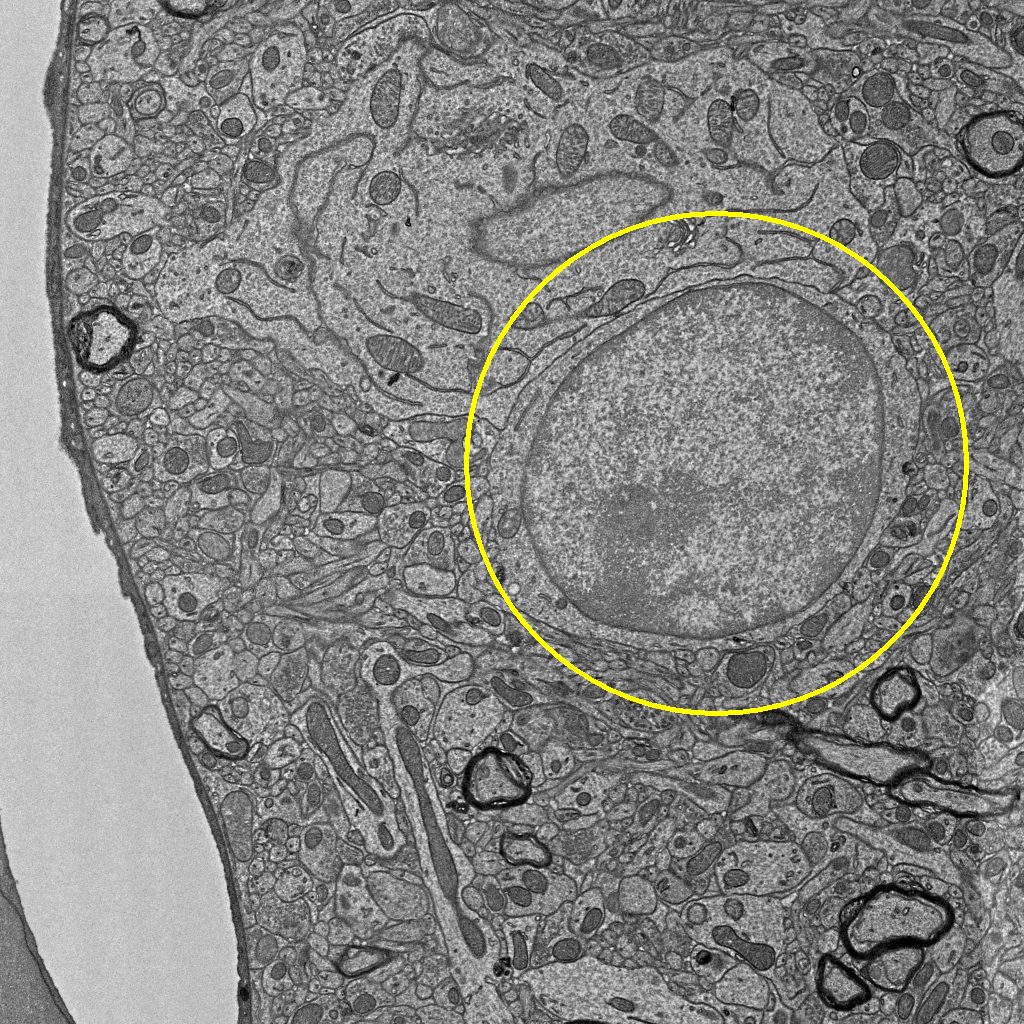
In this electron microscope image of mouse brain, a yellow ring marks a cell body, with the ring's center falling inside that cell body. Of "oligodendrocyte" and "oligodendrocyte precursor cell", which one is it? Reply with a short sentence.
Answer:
It is an oligodendrocyte at the center of the ring.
